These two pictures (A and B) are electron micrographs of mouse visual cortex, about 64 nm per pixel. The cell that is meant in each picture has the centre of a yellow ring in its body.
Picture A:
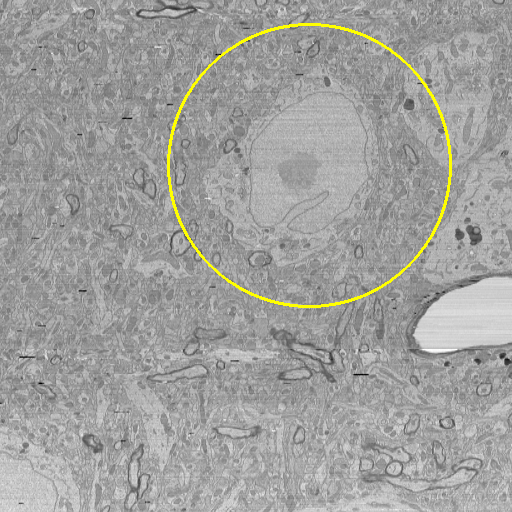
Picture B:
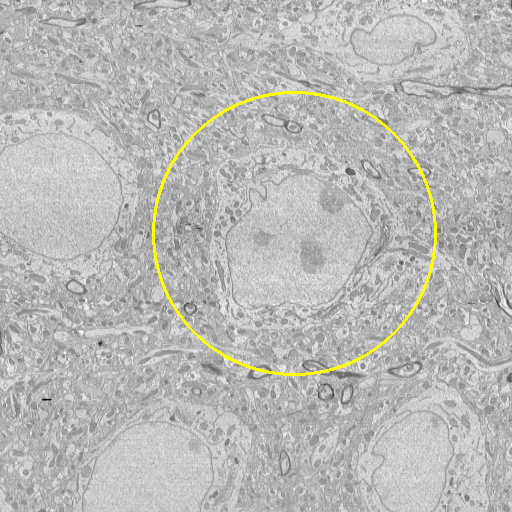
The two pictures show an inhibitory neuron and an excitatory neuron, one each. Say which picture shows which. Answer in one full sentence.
Picture B shows an inhibitory neuron, while picture A shows an excitatory neuron.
